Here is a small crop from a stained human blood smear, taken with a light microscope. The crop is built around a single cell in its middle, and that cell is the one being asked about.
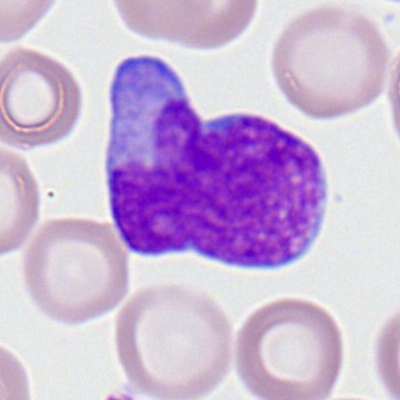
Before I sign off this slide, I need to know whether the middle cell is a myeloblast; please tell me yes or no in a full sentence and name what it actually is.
Yes, the cell sitting in the middle of this smear crop is a myeloblast.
